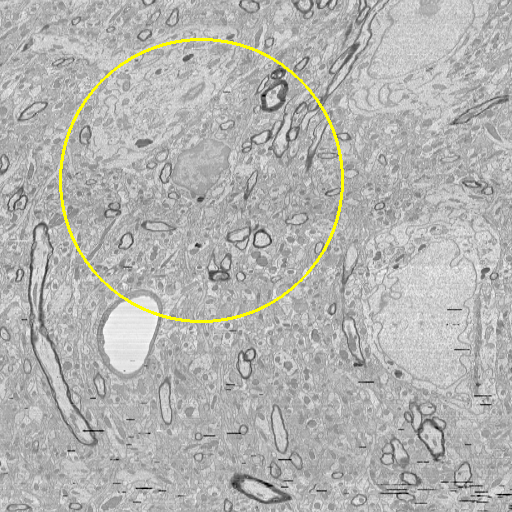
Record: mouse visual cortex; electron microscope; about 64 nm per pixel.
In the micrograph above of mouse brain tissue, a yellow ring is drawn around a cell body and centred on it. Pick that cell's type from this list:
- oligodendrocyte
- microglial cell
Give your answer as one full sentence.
Going by the list, a microglial cell is the cell on which the yellow ring is centred.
